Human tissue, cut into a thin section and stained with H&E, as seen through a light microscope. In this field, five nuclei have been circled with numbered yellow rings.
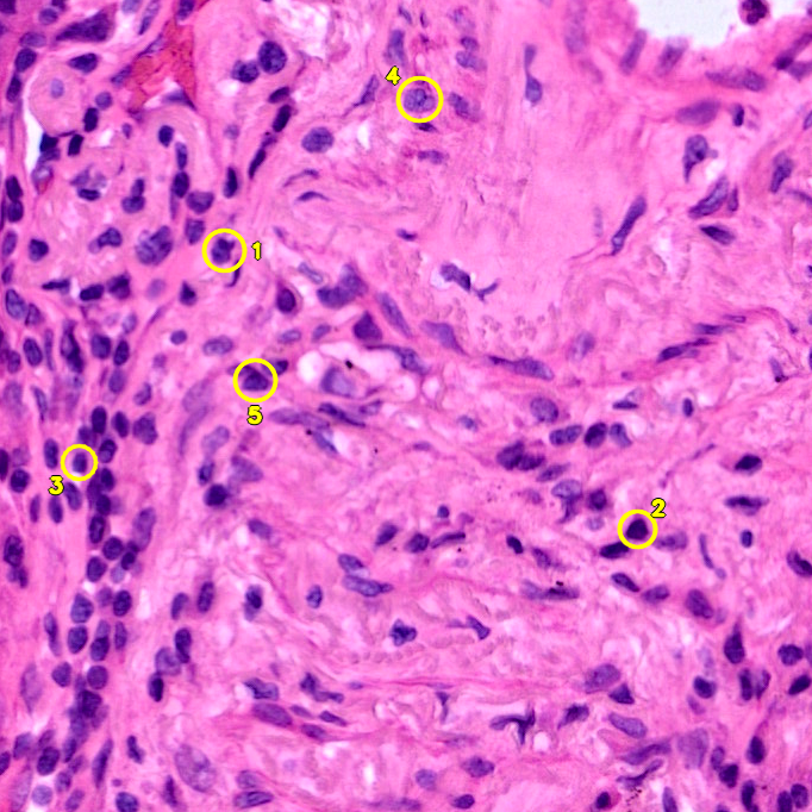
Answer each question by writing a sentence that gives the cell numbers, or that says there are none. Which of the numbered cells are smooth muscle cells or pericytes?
Cell 4, and no other numbered cell, is a smooth muscle cell or pericyte.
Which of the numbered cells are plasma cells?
It is only cell 2 that is a plasma cell among the numbered cells.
